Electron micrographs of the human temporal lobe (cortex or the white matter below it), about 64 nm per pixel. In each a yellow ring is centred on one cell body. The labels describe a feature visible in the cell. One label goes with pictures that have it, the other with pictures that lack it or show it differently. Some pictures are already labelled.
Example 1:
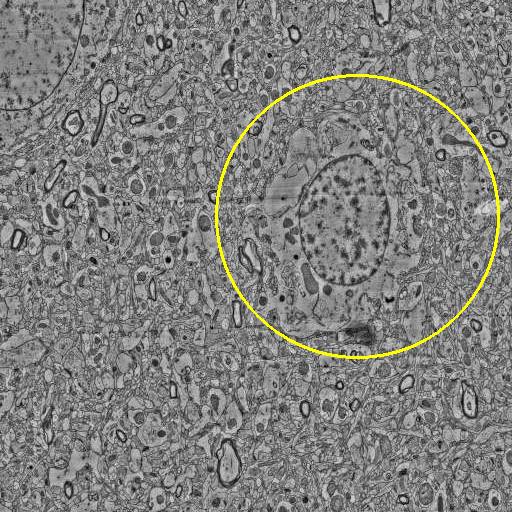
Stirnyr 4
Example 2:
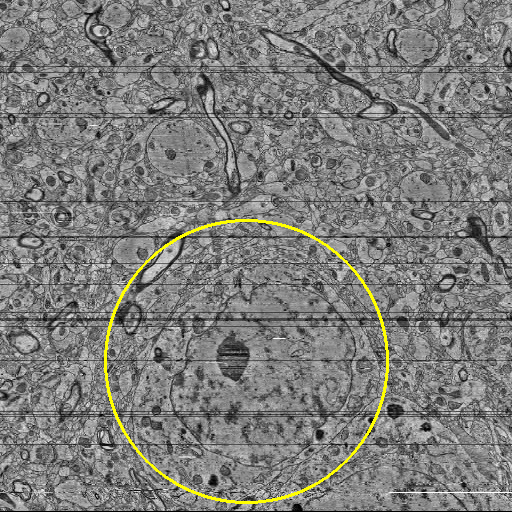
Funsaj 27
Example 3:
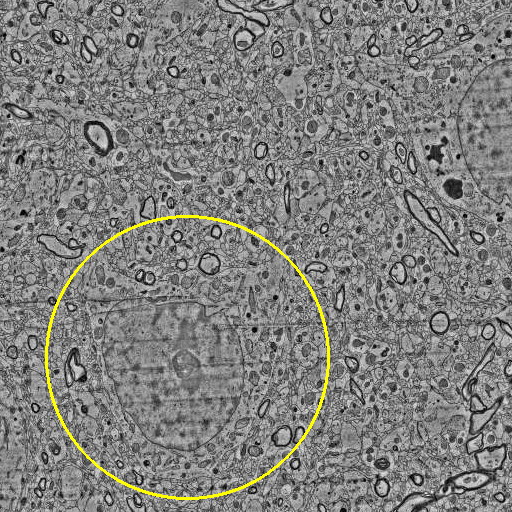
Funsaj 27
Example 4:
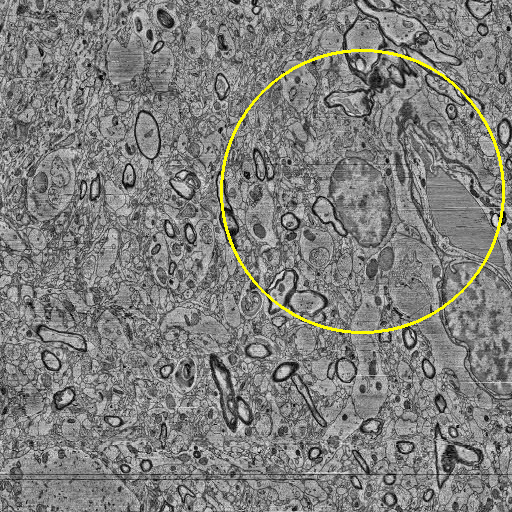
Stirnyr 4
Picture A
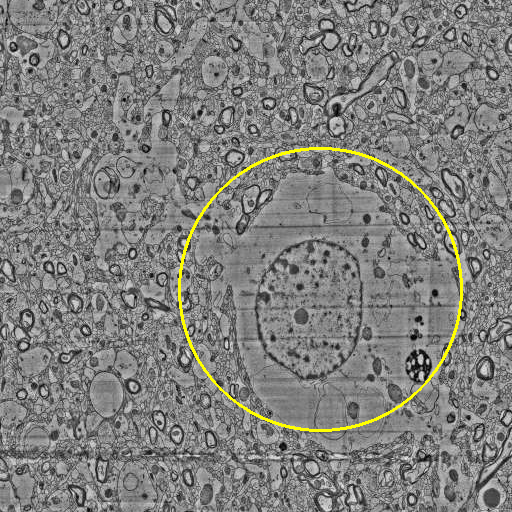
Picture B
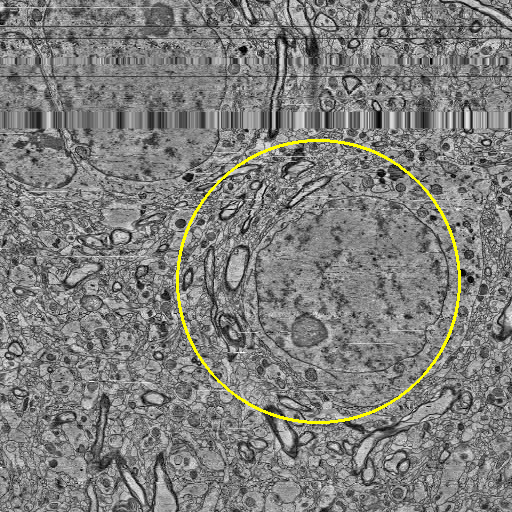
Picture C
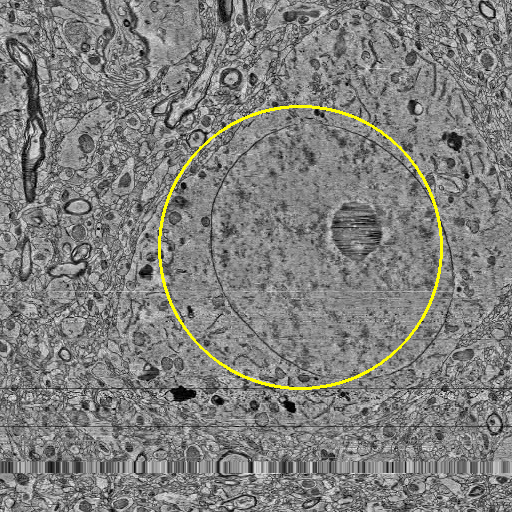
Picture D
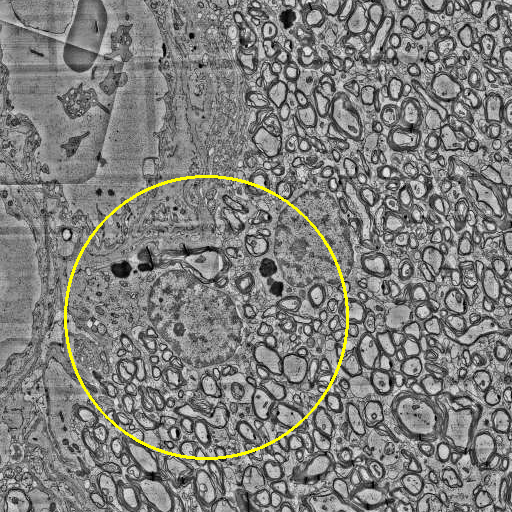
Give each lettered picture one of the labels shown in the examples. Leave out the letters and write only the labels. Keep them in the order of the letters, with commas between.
Funsaj 27, Funsaj 27, Funsaj 27, Funsaj 27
